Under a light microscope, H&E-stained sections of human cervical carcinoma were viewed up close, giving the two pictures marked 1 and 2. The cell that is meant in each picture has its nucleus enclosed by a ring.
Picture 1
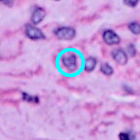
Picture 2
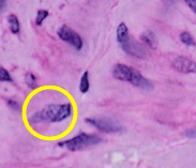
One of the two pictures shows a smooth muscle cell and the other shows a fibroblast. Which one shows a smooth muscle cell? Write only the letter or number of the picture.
1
